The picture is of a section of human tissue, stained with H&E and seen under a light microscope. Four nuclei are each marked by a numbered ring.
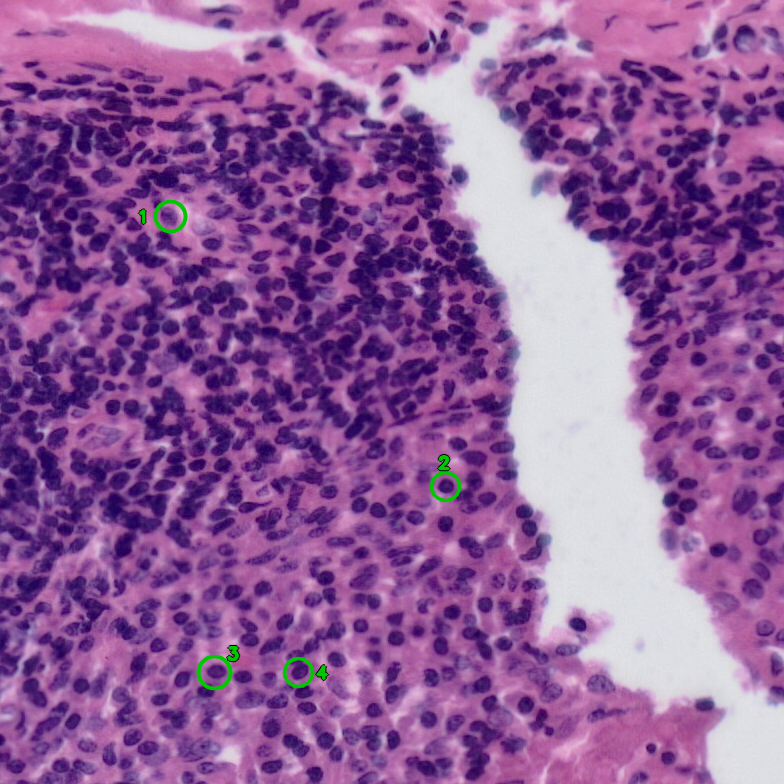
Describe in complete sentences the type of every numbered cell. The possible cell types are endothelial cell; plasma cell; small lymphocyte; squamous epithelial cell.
Cell 1 is an endothelial cell. Cells 2, 3 and 4 are plasma cells.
